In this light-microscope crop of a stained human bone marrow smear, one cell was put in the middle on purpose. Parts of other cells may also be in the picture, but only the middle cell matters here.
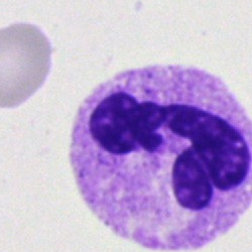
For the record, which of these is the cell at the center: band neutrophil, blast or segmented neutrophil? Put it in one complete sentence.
The cell in the exact centre of the crop is a segmented neutrophil.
